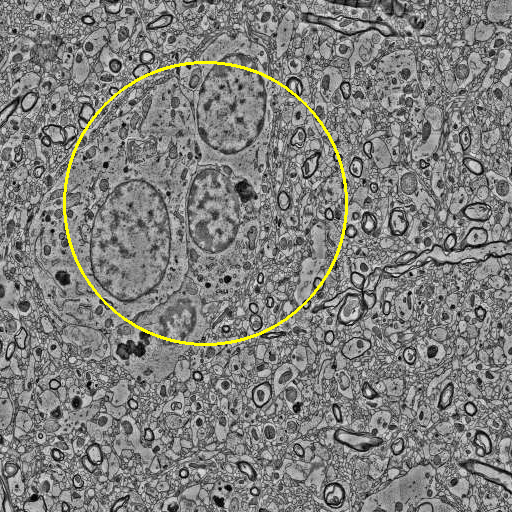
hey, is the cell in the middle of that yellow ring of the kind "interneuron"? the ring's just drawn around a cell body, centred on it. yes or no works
no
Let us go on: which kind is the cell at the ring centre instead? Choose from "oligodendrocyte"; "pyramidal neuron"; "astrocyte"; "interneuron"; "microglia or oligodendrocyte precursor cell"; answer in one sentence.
Here, the ring is centred on an oligodendrocyte instead.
